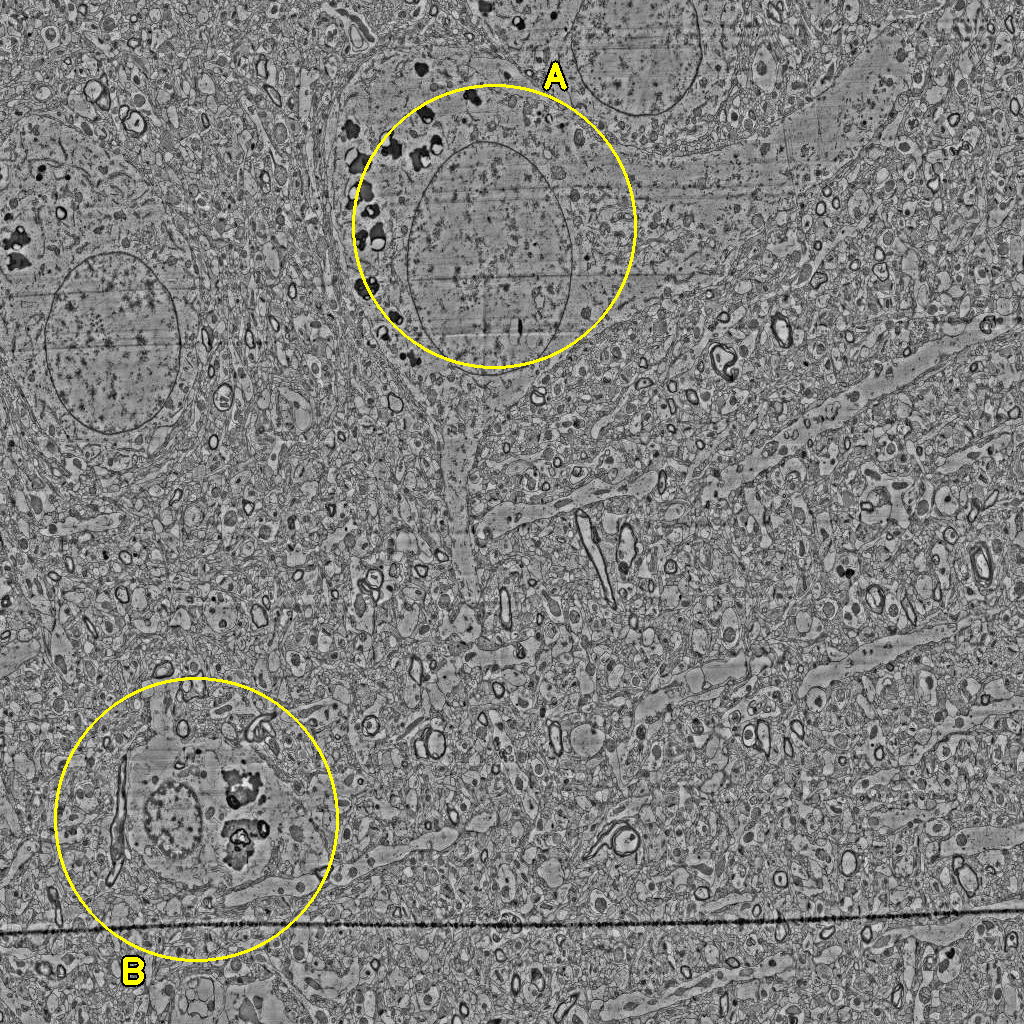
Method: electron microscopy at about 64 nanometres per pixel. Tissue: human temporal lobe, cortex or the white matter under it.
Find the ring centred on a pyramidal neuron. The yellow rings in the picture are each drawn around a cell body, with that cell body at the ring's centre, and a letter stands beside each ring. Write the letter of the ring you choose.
A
